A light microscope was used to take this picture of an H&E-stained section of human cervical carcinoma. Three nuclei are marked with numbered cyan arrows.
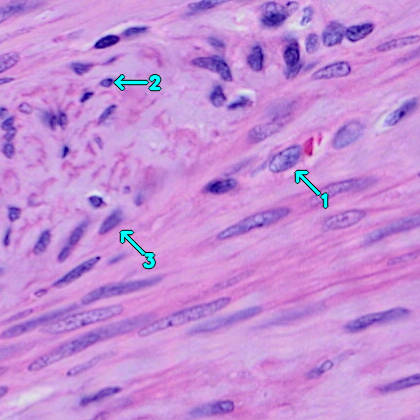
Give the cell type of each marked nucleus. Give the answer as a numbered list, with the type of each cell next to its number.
1. endothelial cell
2. smooth muscle cell
3. smooth muscle cell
